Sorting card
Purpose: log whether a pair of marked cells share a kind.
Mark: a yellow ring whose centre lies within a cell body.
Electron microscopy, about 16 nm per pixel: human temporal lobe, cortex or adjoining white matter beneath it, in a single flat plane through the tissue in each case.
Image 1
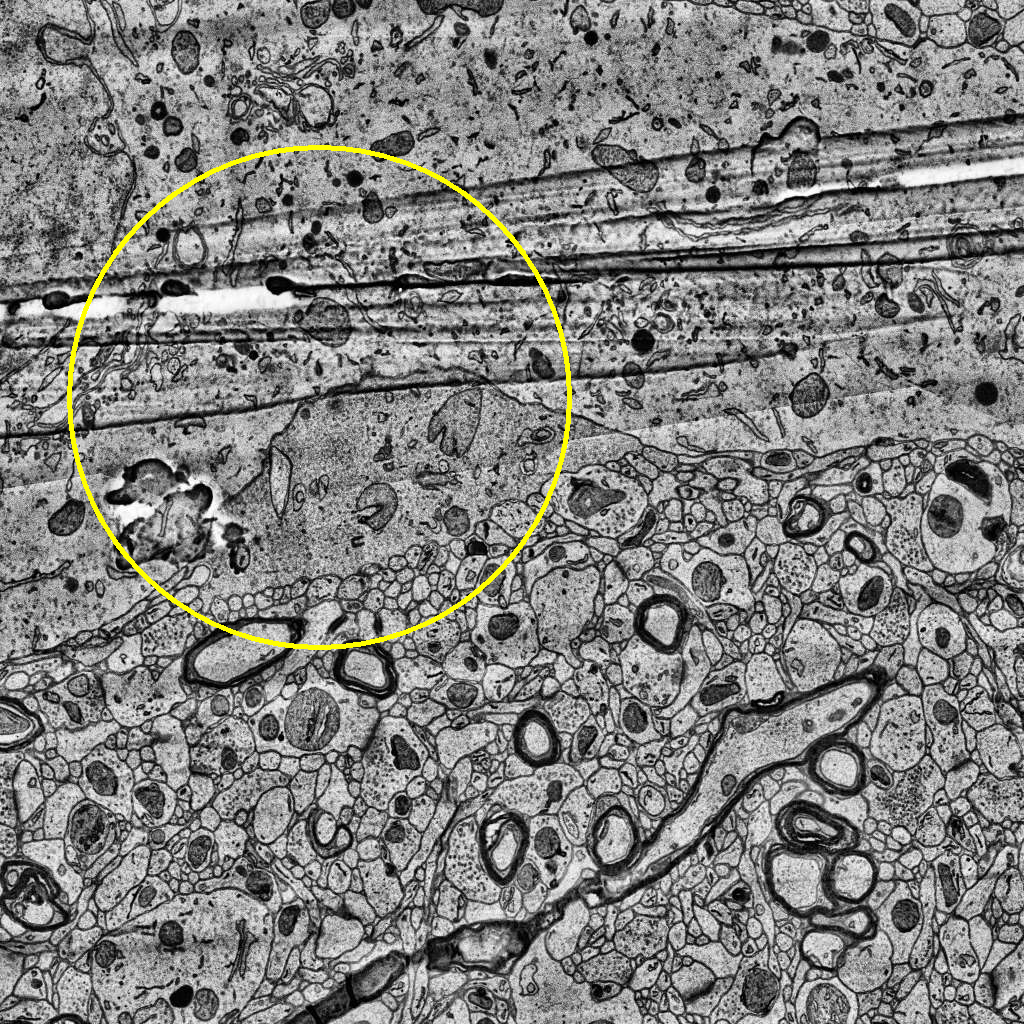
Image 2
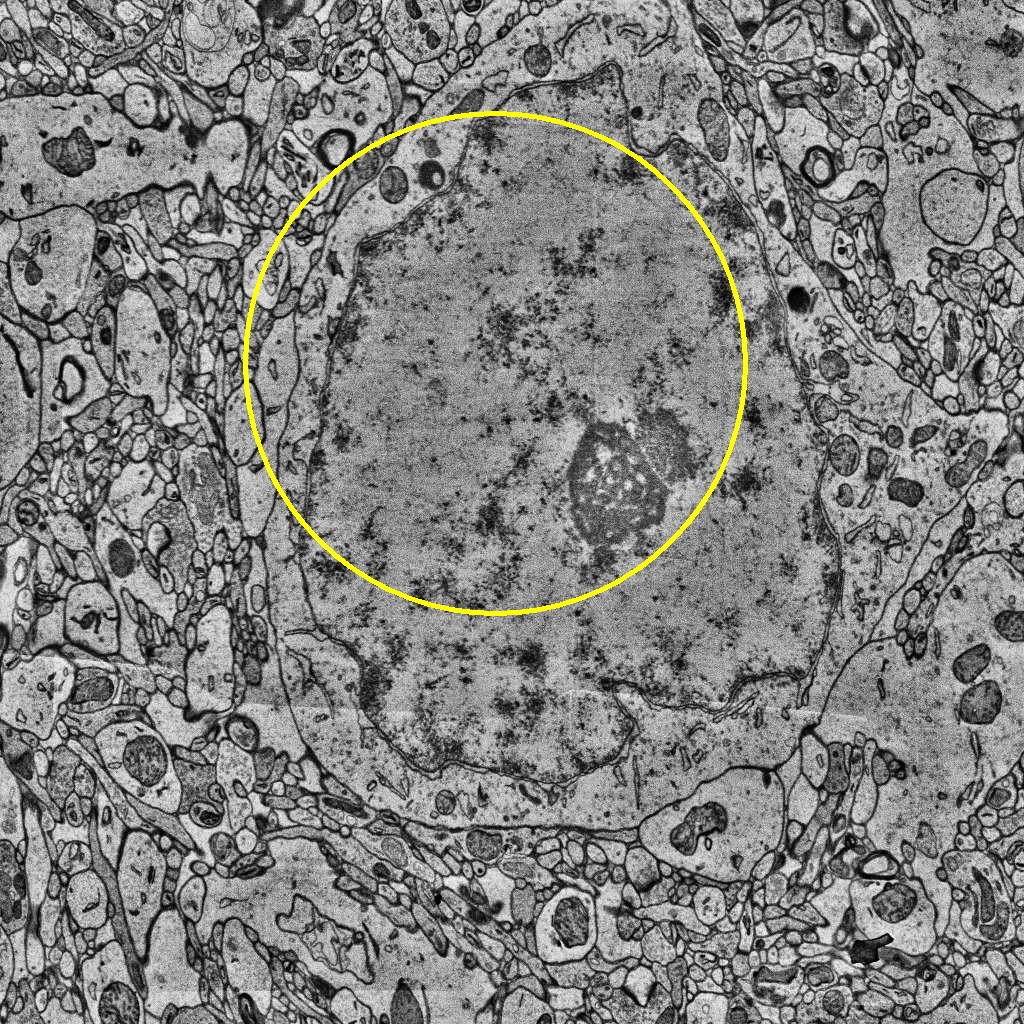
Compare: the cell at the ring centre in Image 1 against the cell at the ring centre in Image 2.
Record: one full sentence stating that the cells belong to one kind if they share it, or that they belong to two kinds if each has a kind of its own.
Across Images 1 and 2, the two cells at the ring centres belong to two kinds.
